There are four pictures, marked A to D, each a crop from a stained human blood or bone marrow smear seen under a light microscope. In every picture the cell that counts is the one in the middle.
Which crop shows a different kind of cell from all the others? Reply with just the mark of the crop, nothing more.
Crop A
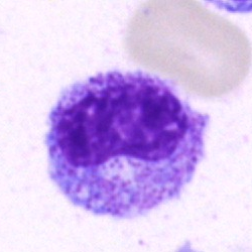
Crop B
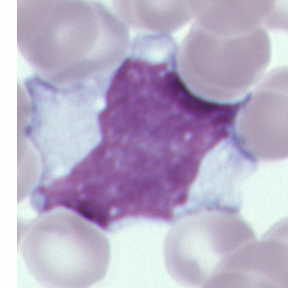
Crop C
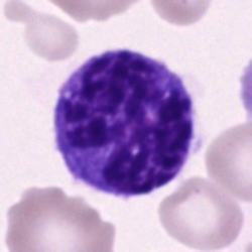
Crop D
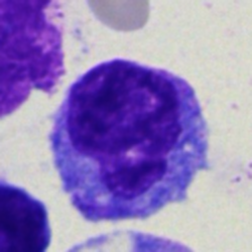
A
